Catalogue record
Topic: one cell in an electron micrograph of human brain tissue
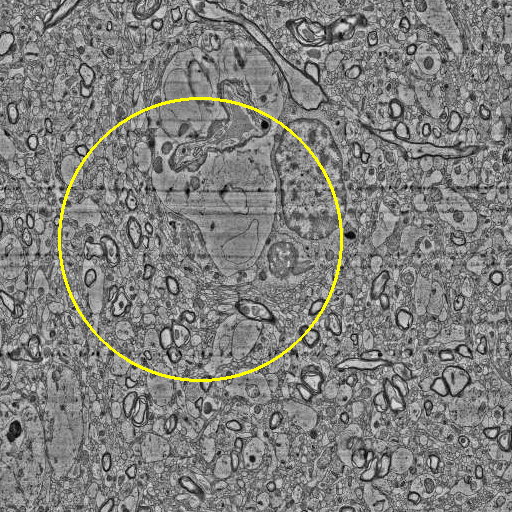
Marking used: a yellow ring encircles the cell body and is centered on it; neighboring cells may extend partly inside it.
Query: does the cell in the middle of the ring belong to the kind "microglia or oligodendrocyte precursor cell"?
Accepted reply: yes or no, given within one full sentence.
Yes, the cell centered in the ring in the picture is of that kind.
